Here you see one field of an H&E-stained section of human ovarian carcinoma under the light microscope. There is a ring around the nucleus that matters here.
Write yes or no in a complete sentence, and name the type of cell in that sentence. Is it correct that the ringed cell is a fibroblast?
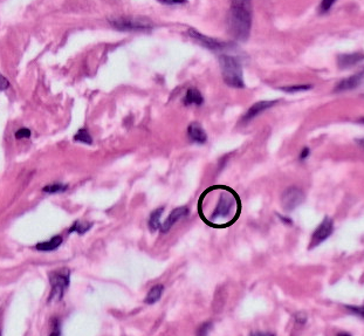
Yes, put very simply, the ringed cell is a fibroblast.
